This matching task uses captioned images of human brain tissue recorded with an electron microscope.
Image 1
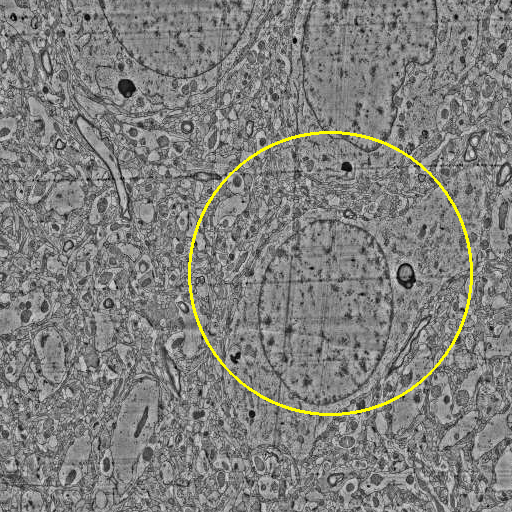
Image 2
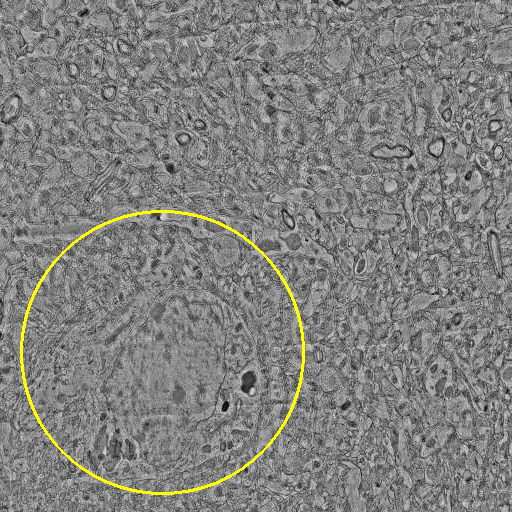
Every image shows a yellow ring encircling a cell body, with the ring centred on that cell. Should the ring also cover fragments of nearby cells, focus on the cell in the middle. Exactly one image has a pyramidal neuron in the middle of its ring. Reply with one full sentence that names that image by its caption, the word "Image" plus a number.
Image 1 shows the cell in question at the centre of its yellow ring.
